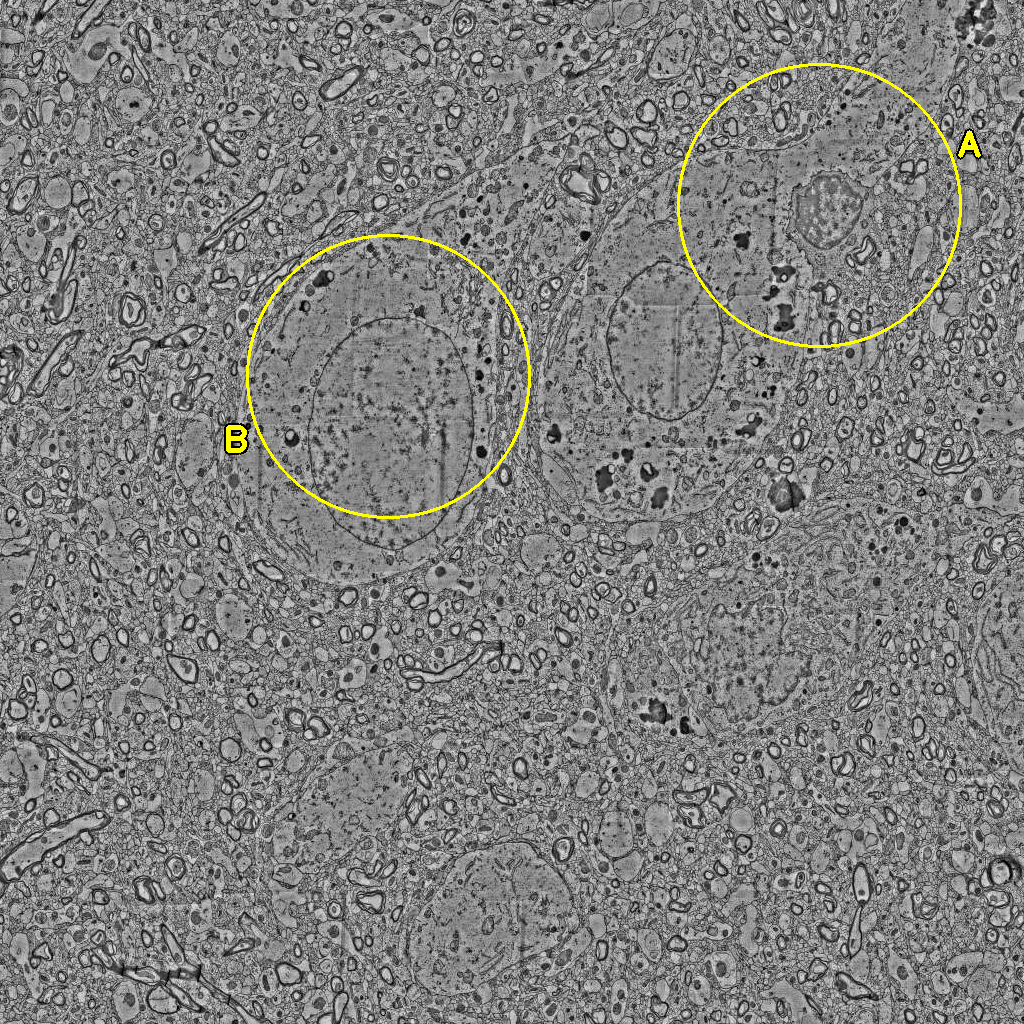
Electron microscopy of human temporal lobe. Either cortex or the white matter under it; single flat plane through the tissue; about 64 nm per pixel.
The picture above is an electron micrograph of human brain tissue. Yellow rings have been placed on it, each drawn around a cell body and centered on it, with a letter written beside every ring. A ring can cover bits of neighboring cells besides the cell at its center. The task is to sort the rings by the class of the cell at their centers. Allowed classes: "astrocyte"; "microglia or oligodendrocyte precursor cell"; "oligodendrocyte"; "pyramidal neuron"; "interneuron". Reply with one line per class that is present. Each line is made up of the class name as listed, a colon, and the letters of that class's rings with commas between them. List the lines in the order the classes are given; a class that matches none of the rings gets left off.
oligodendrocyte: A
pyramidal neuron: B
